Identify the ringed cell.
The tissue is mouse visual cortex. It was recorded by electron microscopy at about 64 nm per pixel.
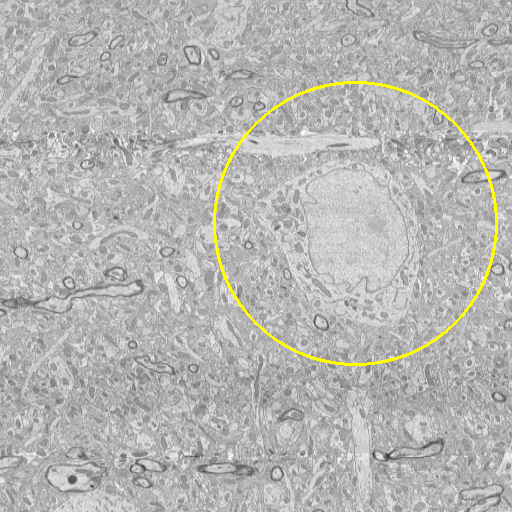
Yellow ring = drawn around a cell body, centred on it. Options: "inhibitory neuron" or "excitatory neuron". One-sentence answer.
What the ring is centred on is an inhibitory neuron.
